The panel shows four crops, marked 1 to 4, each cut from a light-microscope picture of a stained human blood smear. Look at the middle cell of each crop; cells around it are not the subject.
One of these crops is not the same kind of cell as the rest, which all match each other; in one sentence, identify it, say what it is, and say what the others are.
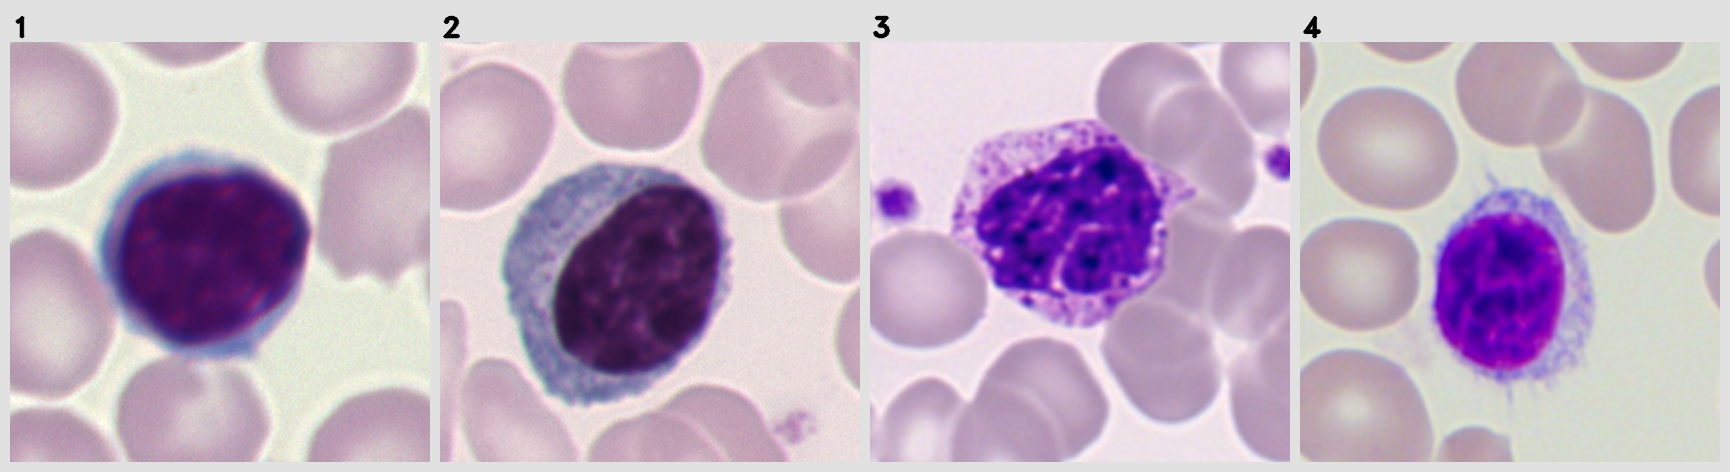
Among these crops, lymphocytes occur in all but crop 3, which contains a basophil.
